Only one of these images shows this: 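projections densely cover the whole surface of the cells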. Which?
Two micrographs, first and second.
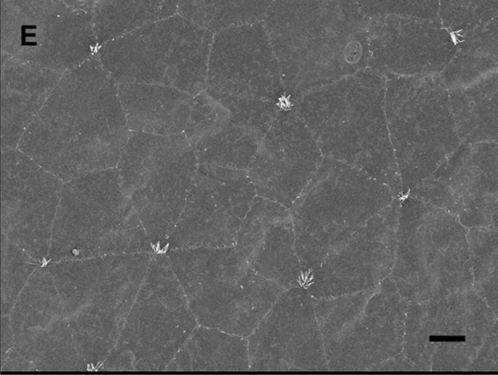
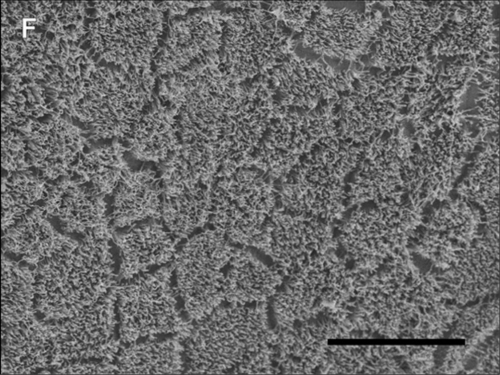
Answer: The second image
